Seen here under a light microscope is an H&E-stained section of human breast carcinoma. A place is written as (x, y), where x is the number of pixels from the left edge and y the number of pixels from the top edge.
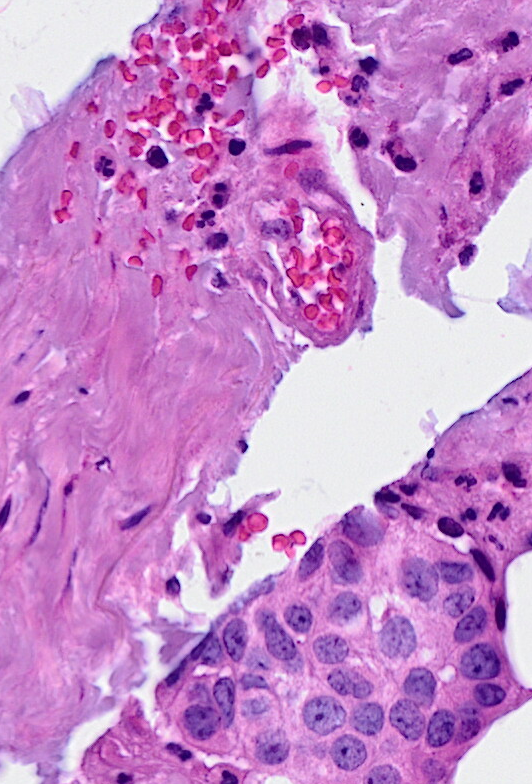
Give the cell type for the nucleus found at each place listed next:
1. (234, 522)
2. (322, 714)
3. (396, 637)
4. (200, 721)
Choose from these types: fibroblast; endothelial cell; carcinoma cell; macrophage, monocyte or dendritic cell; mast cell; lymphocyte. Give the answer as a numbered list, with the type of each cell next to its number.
1. endothelial cell
2. carcinoma cell
3. carcinoma cell
4. carcinoma cell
